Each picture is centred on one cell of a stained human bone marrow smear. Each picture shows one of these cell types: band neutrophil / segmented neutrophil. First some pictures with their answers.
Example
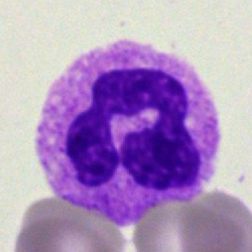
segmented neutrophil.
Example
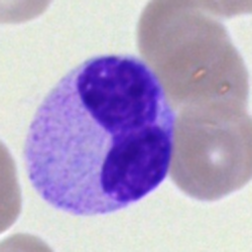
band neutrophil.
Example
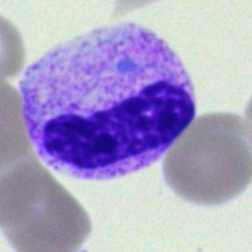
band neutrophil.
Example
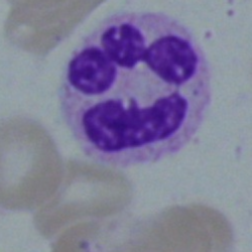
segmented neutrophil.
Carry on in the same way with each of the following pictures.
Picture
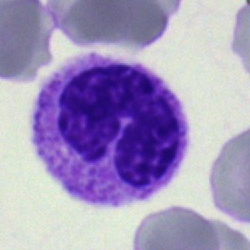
band neutrophil.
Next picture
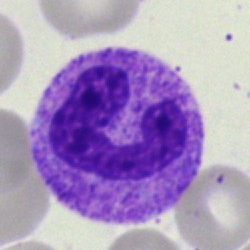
band neutrophil.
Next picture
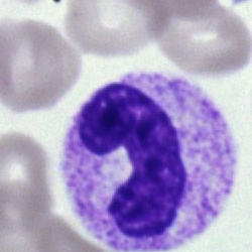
band neutrophil.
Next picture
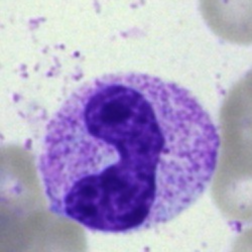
band neutrophil.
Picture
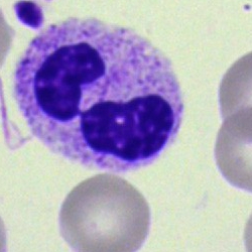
segmented neutrophil.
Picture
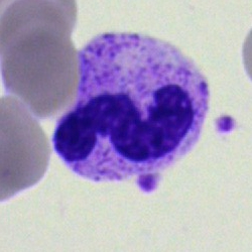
segmented neutrophil.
